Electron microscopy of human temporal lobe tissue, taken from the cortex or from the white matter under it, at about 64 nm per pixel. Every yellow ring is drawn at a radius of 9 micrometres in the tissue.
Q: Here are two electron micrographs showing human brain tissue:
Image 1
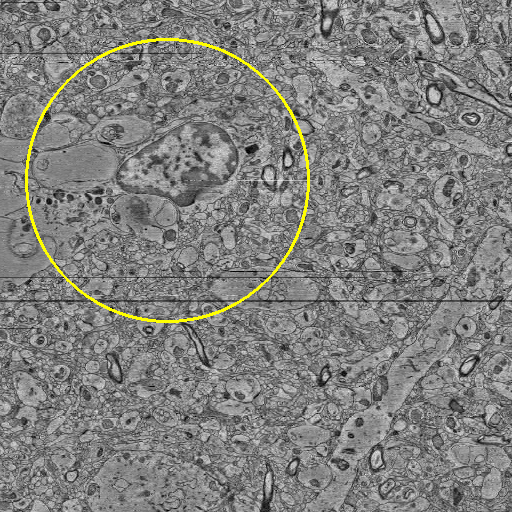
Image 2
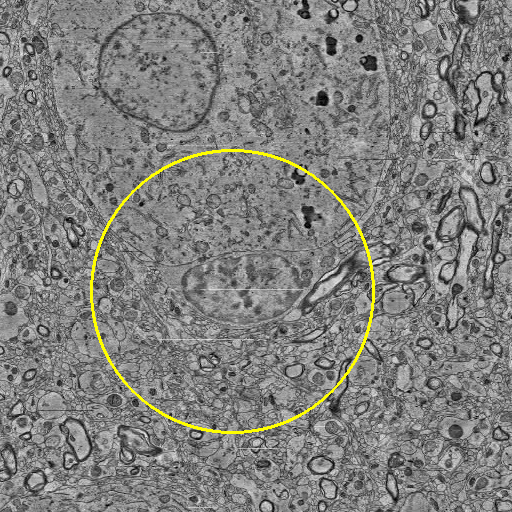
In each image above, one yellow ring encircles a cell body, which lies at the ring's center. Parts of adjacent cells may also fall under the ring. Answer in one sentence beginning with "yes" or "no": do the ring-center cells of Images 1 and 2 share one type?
No, in Images 1 and 2, the ring-center cells are of two types.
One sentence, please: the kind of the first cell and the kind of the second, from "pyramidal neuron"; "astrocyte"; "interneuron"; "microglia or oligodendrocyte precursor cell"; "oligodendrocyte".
The ring in the first picture surrounds a microglial cell or oligodendrocyte precursor cell, and the ring in the second surrounds an oligodendrocyte.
